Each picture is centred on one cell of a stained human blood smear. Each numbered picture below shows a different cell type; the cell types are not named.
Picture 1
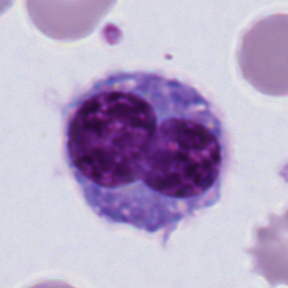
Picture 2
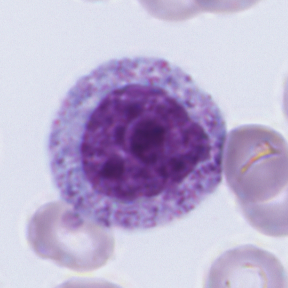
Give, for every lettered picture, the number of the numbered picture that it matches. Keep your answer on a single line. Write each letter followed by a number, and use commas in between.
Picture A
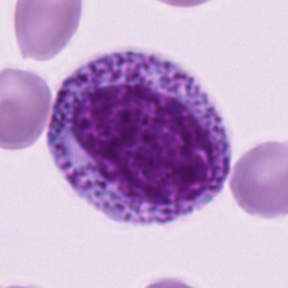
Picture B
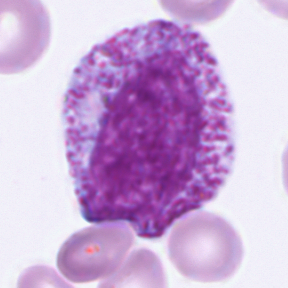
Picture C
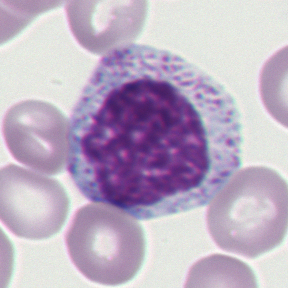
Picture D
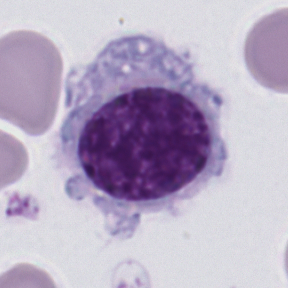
A 2, B 2, C 2, D 1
